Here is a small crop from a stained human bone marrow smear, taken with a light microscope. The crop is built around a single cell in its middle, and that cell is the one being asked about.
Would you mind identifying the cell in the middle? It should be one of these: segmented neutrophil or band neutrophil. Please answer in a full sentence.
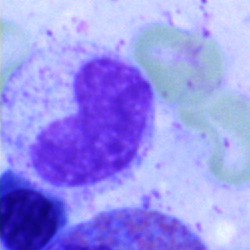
The cell nearest the centre of this crop is a band neutrophil.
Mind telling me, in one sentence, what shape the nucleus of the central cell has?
Worth pointing out that its nucleus is one compact mass, round, oval or reniform.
